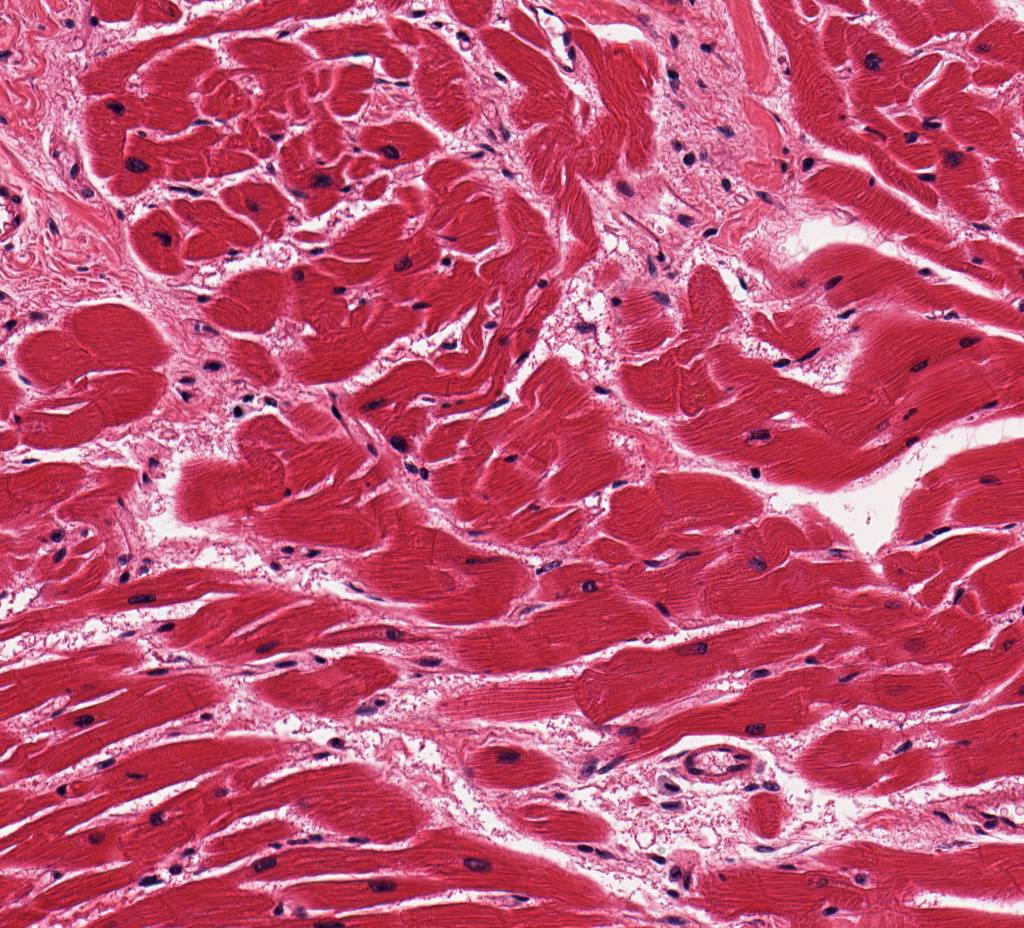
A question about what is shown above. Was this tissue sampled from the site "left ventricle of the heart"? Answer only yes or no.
yes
